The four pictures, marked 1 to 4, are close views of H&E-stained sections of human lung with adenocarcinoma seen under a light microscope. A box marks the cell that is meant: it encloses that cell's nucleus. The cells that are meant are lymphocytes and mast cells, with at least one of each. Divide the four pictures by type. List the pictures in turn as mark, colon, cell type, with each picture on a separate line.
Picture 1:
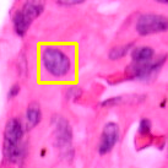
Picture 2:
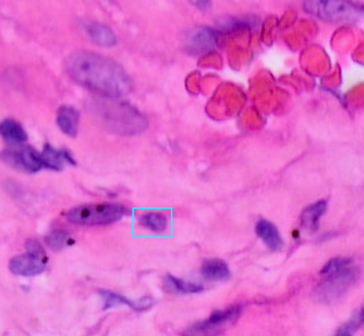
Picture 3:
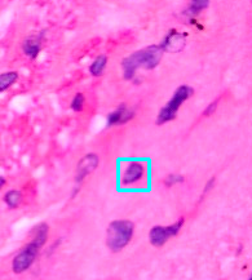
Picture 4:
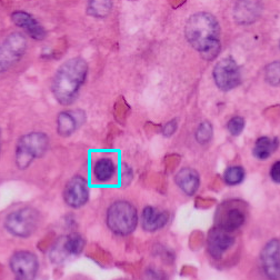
1: mast cell
2: mast cell
3: mast cell
4: lymphocyte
